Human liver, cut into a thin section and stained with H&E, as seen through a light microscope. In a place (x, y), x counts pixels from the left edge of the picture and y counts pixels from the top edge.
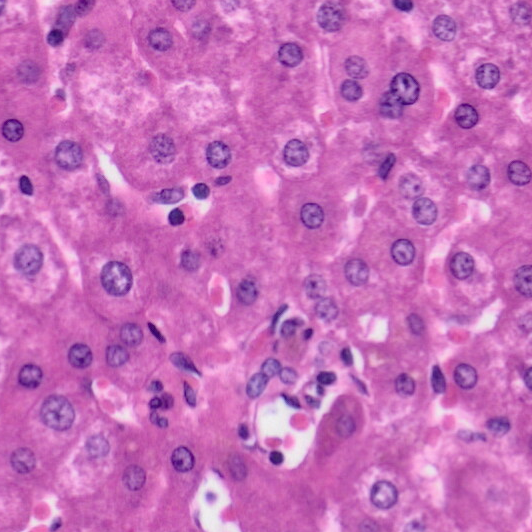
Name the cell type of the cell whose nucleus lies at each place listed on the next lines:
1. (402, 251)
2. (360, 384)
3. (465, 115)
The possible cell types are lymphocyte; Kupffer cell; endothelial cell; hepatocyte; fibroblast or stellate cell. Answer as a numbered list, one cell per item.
1. hepatocyte
2. fibroblast or stellate cell
3. hepatocyte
